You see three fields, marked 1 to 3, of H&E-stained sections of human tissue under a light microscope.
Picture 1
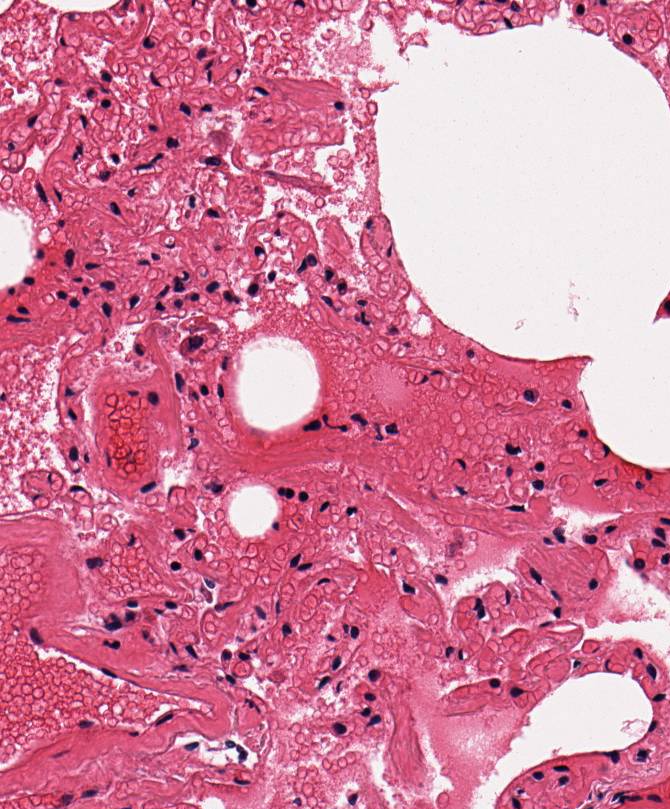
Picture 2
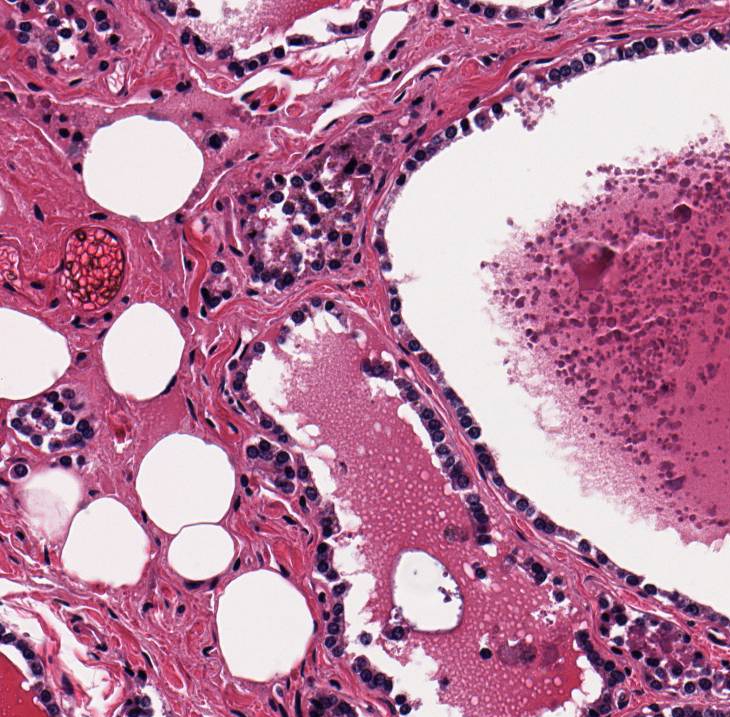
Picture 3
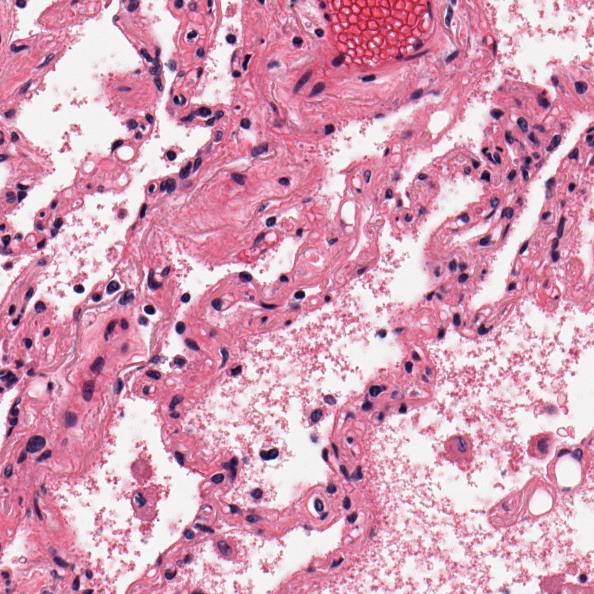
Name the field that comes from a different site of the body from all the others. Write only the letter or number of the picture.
2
